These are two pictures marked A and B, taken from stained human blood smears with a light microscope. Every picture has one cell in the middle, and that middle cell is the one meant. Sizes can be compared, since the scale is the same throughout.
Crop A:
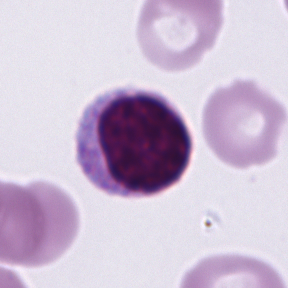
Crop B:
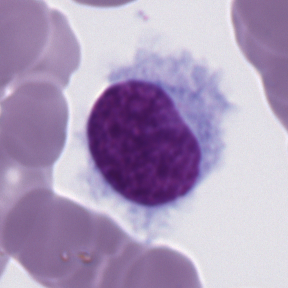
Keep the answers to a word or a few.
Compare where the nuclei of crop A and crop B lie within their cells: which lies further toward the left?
B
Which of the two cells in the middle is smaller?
A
